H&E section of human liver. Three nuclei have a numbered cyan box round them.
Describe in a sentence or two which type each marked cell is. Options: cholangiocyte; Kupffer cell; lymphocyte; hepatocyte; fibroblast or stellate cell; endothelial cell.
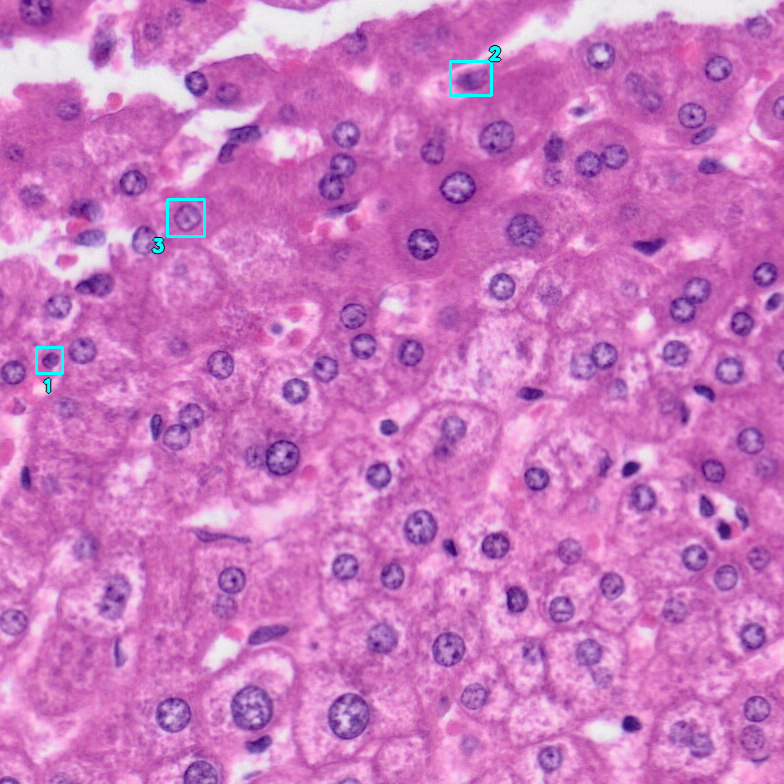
Cell 1 is a lymphocyte, cell 2 is a Kupffer cell and cell 3 is a hepatocyte.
